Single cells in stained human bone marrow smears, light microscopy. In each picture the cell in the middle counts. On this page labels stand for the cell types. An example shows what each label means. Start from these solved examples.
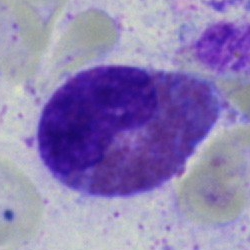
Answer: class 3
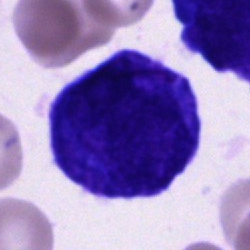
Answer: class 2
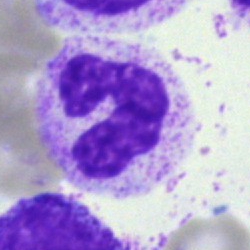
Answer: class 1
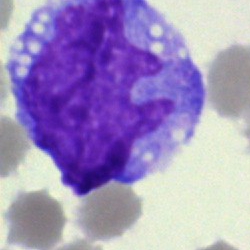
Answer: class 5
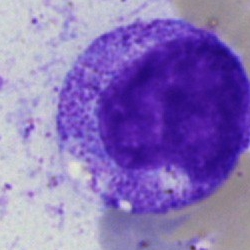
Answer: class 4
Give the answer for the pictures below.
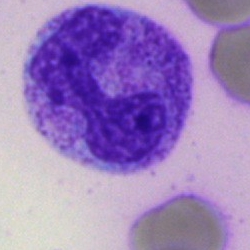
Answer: class 1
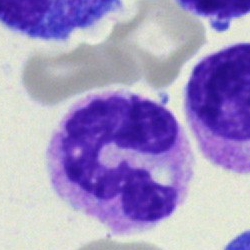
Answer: class 1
